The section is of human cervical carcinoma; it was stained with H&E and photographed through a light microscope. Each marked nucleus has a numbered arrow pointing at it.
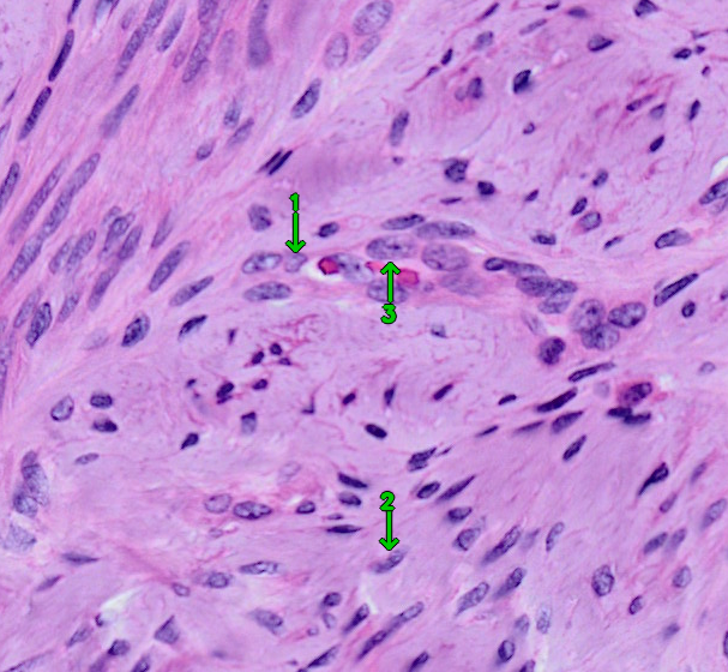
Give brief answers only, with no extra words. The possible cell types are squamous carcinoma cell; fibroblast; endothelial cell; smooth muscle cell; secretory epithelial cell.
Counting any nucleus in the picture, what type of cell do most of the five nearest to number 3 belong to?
endothelial cell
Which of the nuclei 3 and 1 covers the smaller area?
1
